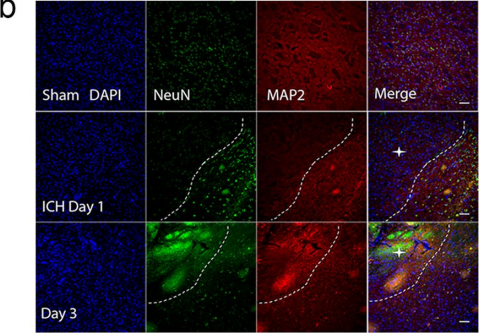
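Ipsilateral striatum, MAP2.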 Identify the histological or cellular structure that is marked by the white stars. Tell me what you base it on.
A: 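Hemorrhagic core. Stars sit on one side of a dashed line in the lower two rows. The starred side looks disrupted compared with the other side and the top row.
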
